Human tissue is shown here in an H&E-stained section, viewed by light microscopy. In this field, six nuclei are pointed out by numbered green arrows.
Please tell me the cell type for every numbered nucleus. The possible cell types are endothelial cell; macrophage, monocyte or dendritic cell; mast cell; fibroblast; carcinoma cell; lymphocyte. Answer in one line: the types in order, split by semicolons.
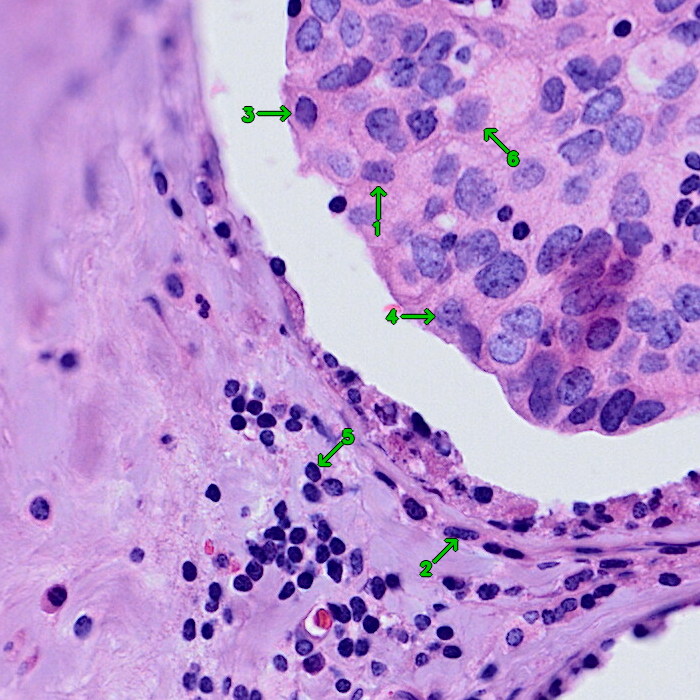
carcinoma cell; mast cell; carcinoma cell; carcinoma cell; lymphocyte; carcinoma cell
